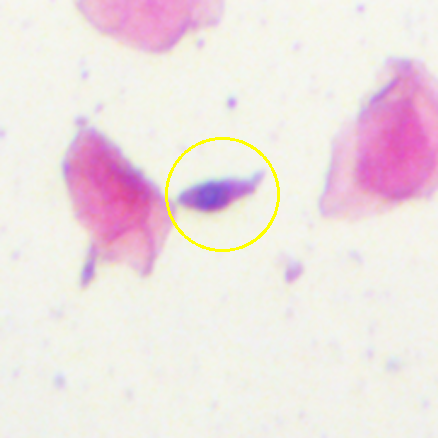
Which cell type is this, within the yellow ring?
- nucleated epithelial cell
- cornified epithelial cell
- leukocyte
Within the ring is a nucleated epithelial cell.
